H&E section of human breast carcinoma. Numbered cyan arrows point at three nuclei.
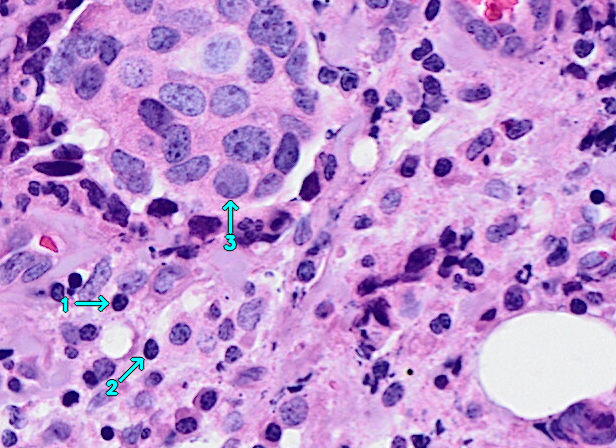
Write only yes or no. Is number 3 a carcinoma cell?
yes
